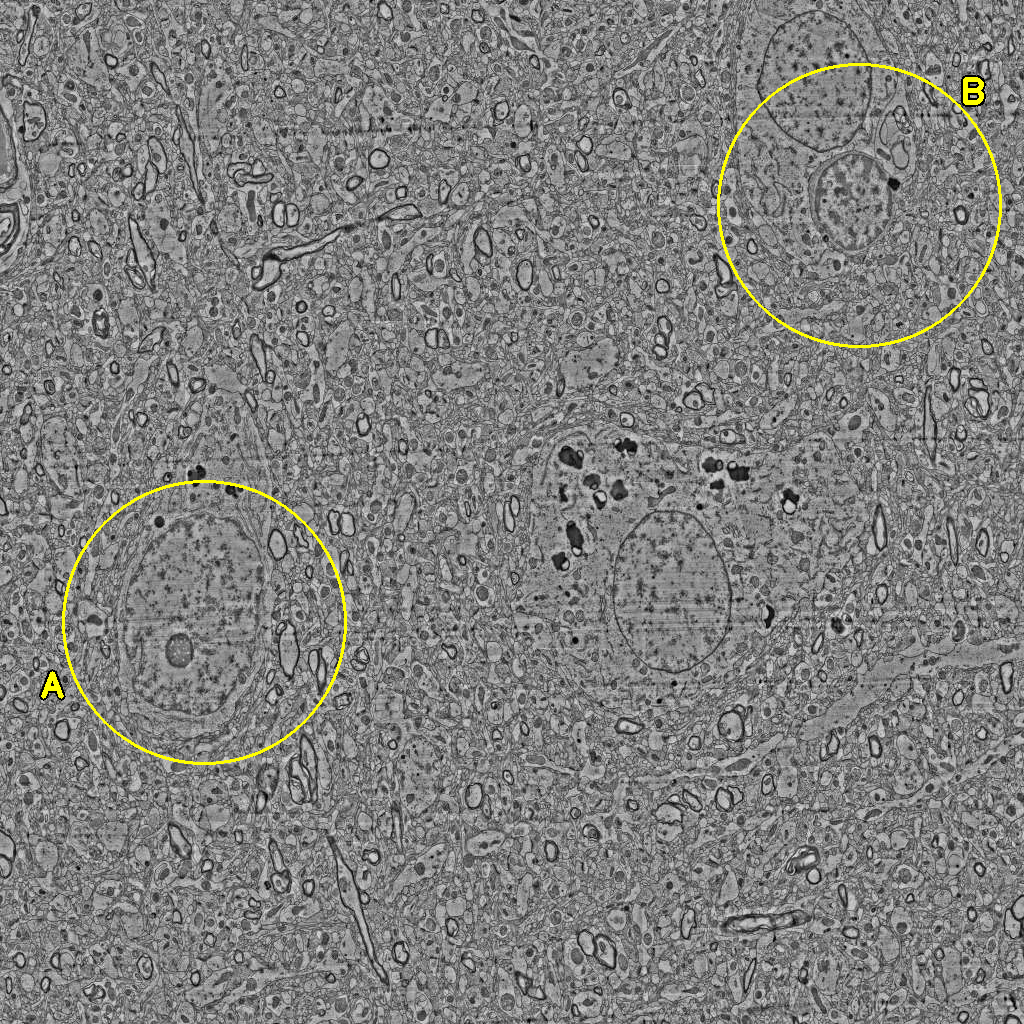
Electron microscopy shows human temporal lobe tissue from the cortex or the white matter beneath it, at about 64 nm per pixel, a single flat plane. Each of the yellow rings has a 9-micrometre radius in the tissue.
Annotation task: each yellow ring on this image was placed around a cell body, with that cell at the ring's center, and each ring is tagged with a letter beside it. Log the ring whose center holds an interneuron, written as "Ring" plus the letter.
Ring A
